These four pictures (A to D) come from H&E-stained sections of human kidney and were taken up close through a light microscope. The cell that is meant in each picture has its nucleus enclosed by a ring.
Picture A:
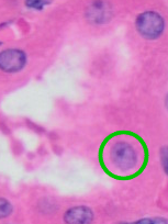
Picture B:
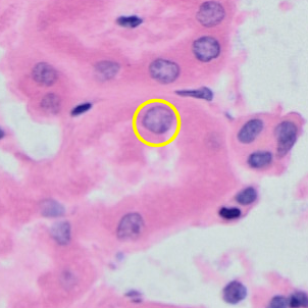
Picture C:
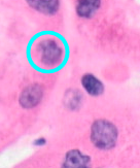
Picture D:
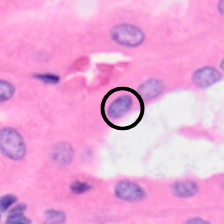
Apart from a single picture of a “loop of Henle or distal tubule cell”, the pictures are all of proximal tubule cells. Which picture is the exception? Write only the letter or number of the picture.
D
